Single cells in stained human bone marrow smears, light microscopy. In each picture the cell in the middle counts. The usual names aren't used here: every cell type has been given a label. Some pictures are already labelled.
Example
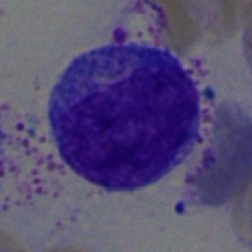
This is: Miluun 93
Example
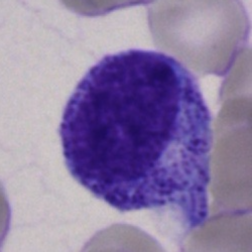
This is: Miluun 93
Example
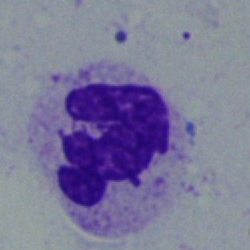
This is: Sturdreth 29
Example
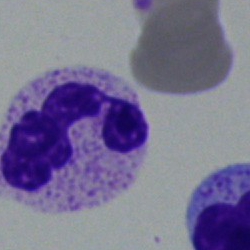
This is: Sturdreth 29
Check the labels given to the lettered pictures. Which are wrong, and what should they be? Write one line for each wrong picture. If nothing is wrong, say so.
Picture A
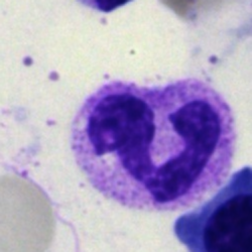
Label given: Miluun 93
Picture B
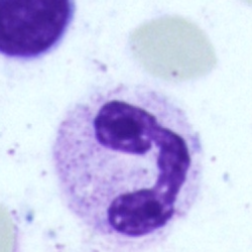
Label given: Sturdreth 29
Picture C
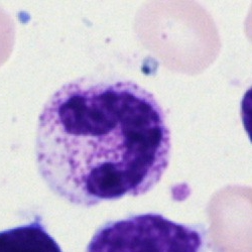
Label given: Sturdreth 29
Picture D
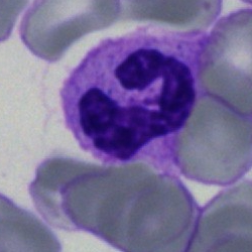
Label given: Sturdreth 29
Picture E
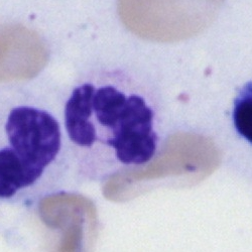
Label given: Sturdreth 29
A: not Miluun 93 but Sturdreth 29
